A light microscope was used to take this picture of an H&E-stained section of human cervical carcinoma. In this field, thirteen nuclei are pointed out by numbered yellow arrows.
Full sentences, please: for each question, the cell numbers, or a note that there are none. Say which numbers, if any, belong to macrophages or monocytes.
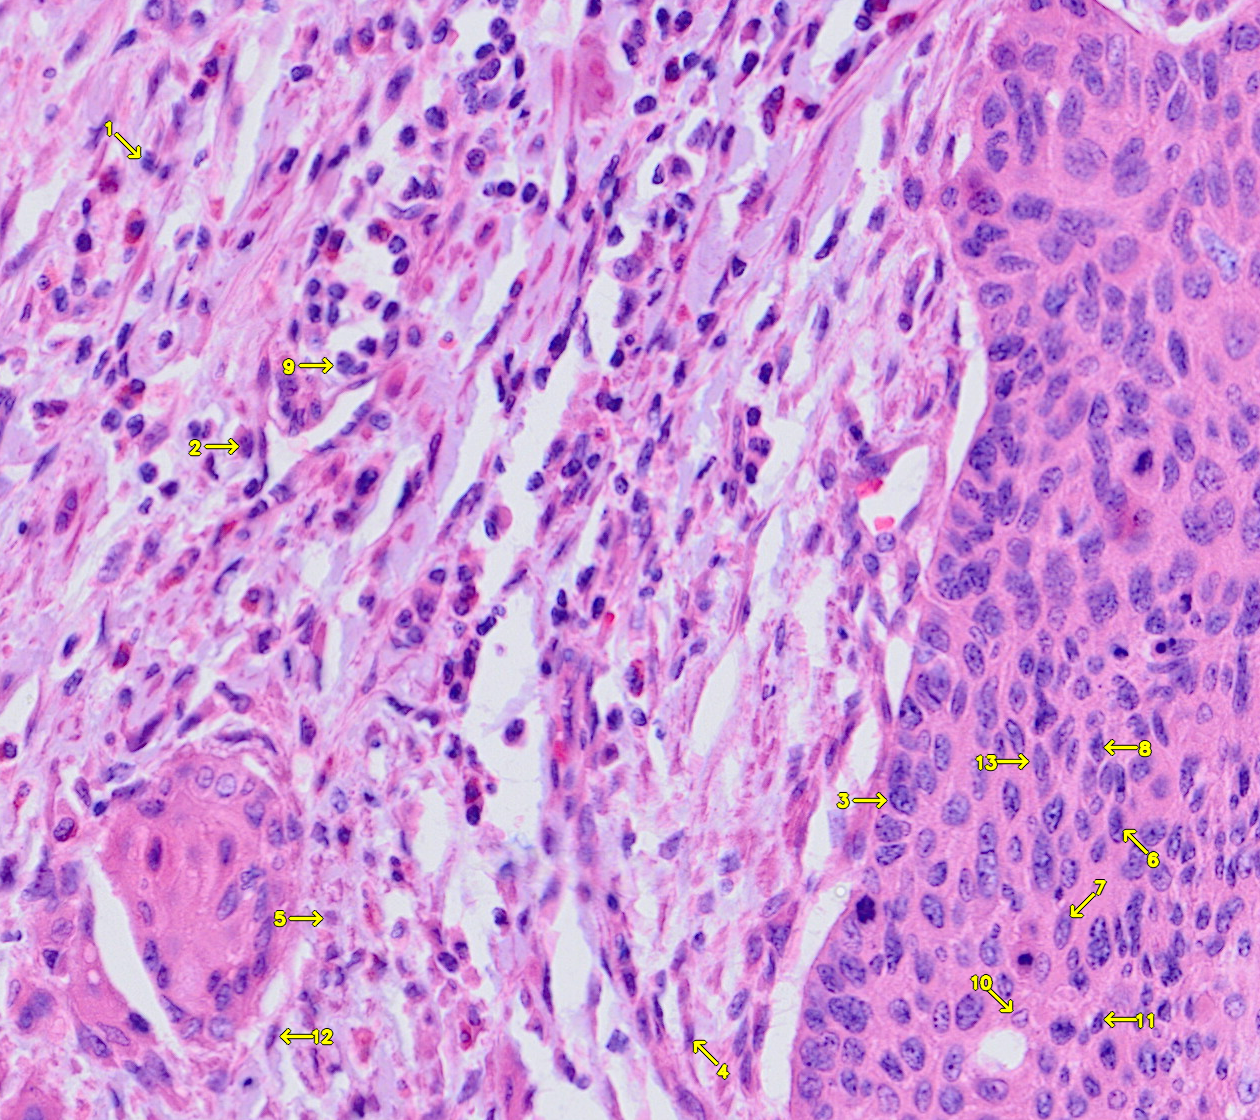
Of all the numbered cells, only cell 2 is a macrophage or monocyte.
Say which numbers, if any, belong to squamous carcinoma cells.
The cells referred to by the numbers 3, 6, 7, 8, 10, 11 and 13 are squamous carcinoma cells.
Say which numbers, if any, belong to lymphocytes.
The cells that have numbers 1 and 9 are lymphocytes.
